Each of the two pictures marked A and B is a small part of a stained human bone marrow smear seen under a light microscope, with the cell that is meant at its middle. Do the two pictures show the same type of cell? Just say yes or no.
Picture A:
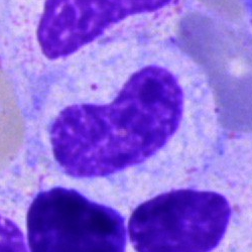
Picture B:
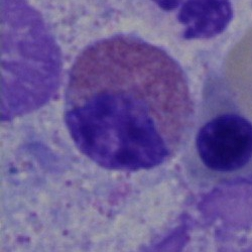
no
